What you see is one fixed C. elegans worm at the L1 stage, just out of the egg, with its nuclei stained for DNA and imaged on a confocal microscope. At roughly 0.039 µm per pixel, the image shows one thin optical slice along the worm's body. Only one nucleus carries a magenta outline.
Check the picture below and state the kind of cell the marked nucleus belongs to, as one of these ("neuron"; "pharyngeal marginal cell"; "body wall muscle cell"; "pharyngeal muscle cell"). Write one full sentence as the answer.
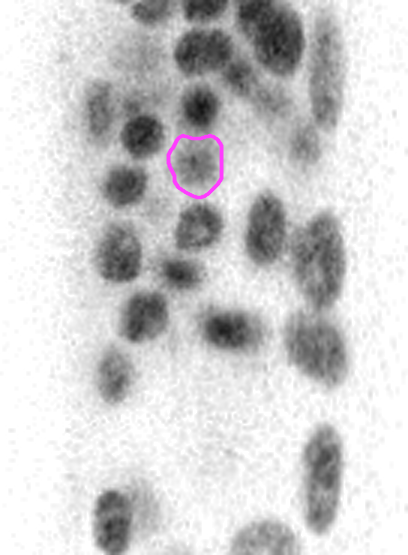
The cell with the marked nucleus is a neuron.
